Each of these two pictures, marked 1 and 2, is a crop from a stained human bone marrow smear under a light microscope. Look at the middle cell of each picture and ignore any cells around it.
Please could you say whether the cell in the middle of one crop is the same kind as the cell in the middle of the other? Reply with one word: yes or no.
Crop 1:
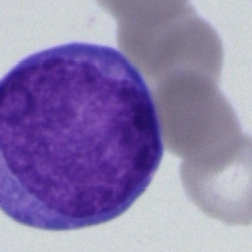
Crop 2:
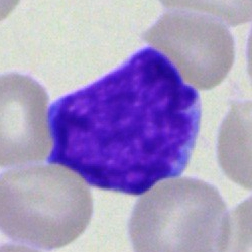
yes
